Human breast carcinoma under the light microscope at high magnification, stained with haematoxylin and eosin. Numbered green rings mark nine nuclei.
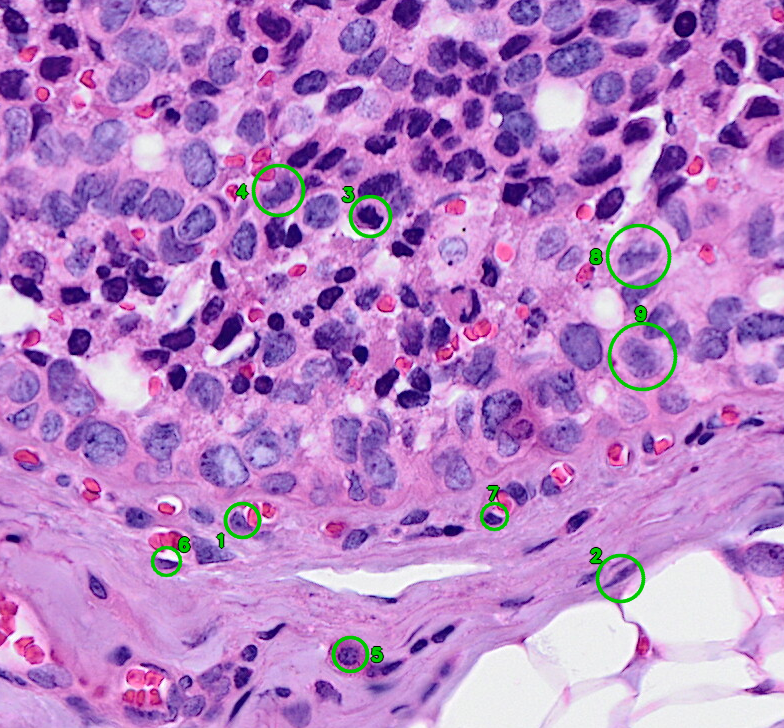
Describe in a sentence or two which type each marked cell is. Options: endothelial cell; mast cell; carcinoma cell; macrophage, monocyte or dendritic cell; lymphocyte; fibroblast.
Cells 1, 6 and 7 are endothelial cells. Cell 2 is a fibroblast. Cells 3, 4, 8 and 9 are carcinoma cells. Cell 5 is a mast cell.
